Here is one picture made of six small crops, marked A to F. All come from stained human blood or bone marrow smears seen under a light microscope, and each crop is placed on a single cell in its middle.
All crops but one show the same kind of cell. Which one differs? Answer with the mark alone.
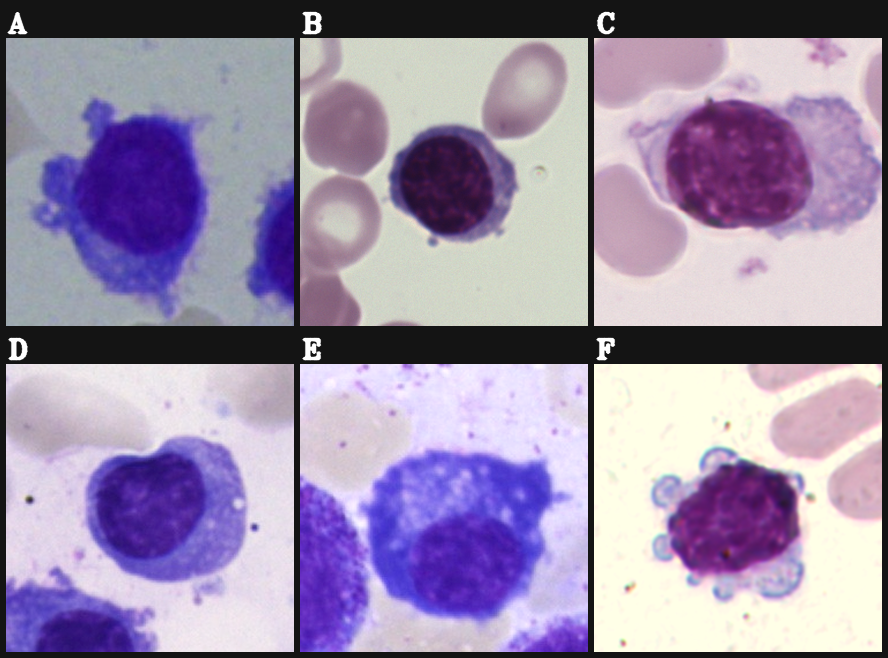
B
